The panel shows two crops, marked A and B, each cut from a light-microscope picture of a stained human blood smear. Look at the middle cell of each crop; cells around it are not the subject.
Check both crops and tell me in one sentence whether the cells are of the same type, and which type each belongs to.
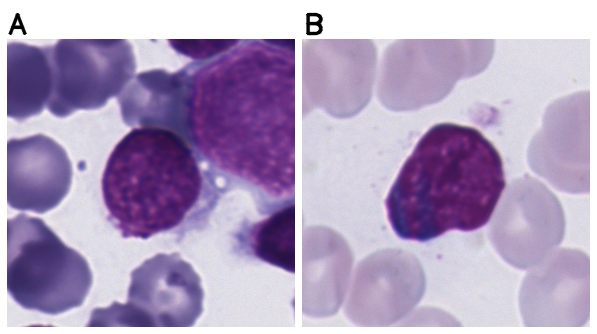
No, crop A features a myeloblast, while crop B features a smudge cell.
